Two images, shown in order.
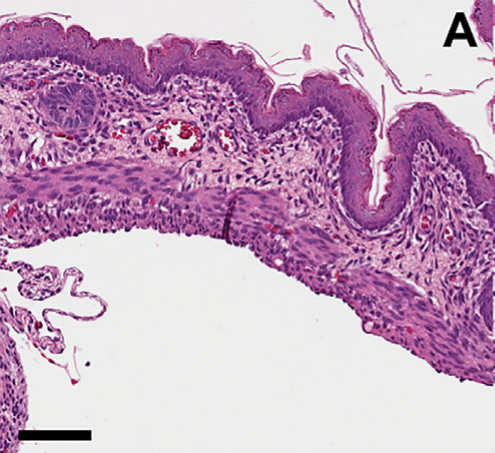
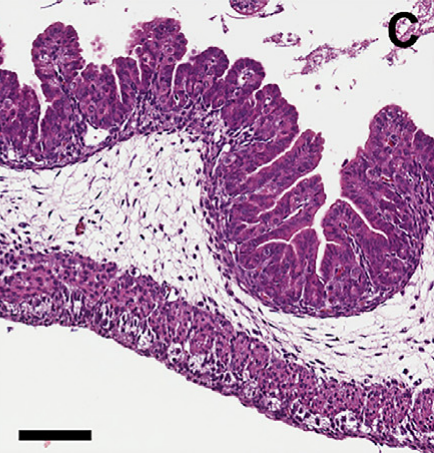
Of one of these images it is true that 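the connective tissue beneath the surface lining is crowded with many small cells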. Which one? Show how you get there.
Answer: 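Second image: the core beneath the lining is pale and loose with only scattered nuclei. First image: the tissue beneath the lining is denser, with many nuclei and small blood vessels.
Hence: the first image.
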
